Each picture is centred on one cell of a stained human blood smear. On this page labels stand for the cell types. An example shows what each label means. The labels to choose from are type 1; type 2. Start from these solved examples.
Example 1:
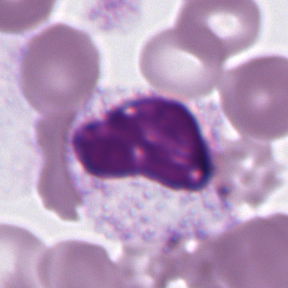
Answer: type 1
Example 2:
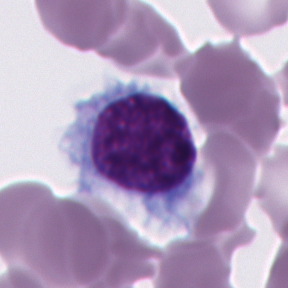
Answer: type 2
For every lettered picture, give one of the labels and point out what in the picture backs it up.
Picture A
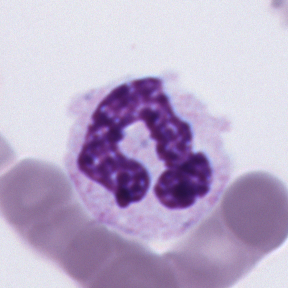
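type 1: The nucleus is a single continuous band bent into an arch with both ends pointing downward.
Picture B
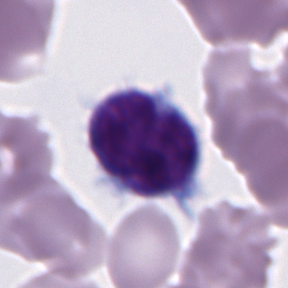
type 2: The nucleus fills almost the whole cell.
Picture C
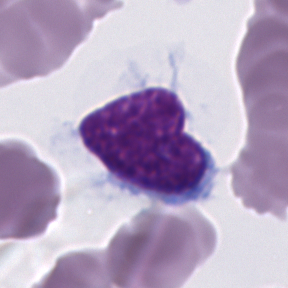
type 2: The nucleus has a notch in its upper right edge, giving it a bean-like shape.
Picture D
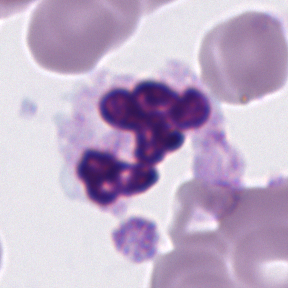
type 1: The cytoplasm is plentiful and pale pinkish-lilac.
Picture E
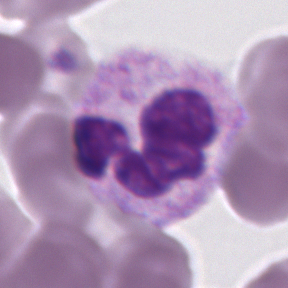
type 1: The nucleus is split into three lobes joined by narrow links.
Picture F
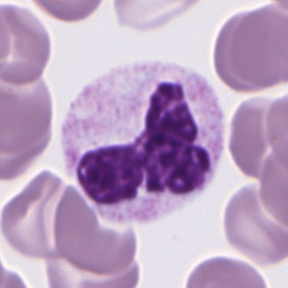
type 1: The nucleus is made of several lobes joined to one another.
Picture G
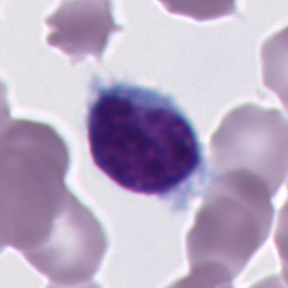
type 2: The cytoplasm is scant and the nucleus fills most of the cell.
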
